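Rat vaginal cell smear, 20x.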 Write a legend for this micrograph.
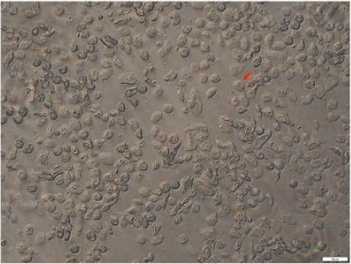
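The cells are round to oval and of fairly uniform medium size, many with a distinct rounded nucleus near the centre. A few cells appear more elongated or spindle-like between the rounded ones. Large flat angular cells are scarce.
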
